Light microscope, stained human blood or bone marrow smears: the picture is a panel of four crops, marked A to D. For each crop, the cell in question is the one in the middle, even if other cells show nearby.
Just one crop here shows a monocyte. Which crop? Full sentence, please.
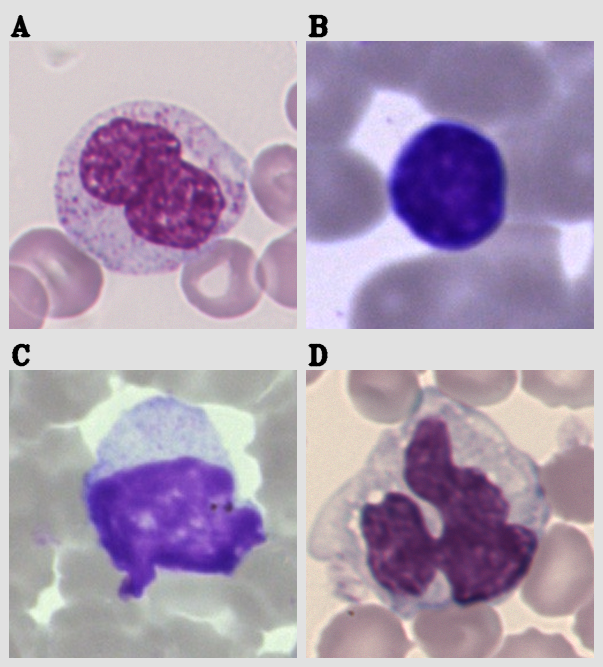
On review of the set, crop D is the one showing a monocyte.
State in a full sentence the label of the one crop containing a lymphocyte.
In the set of crops, crop B is the one that contains a lymphocyte.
